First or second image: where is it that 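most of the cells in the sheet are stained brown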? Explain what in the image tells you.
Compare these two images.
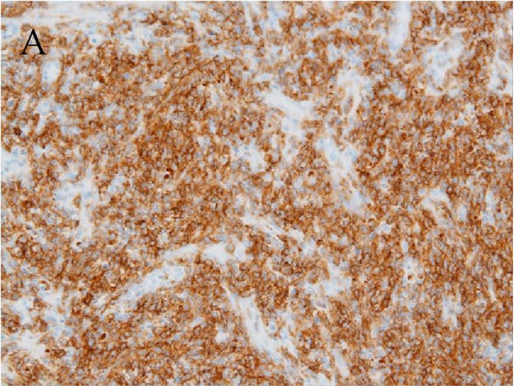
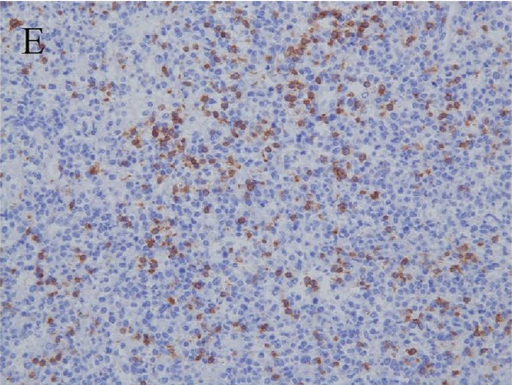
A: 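The first image. Second image: most cells are blue, with only scattered small brown cells. First image: brown stain covers nearly the whole sheet of cells.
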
